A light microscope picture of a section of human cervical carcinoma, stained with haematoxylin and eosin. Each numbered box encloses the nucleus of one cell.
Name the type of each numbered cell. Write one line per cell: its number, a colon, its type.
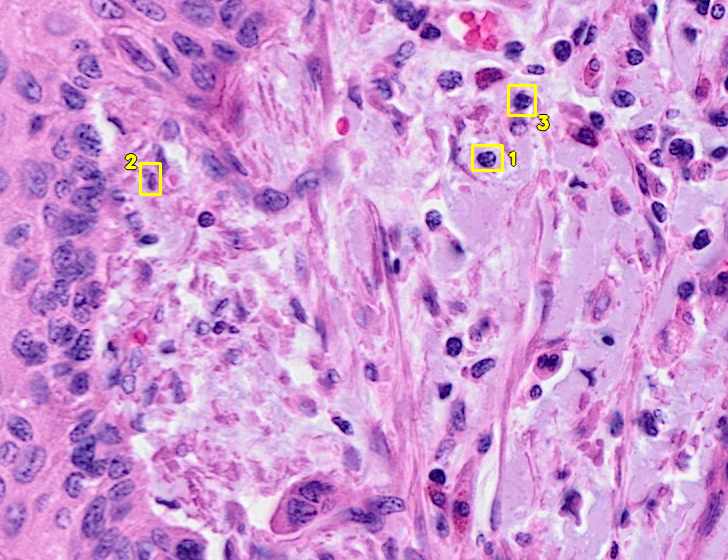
1: lymphocyte
2: fibroblast
3: lymphocyte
